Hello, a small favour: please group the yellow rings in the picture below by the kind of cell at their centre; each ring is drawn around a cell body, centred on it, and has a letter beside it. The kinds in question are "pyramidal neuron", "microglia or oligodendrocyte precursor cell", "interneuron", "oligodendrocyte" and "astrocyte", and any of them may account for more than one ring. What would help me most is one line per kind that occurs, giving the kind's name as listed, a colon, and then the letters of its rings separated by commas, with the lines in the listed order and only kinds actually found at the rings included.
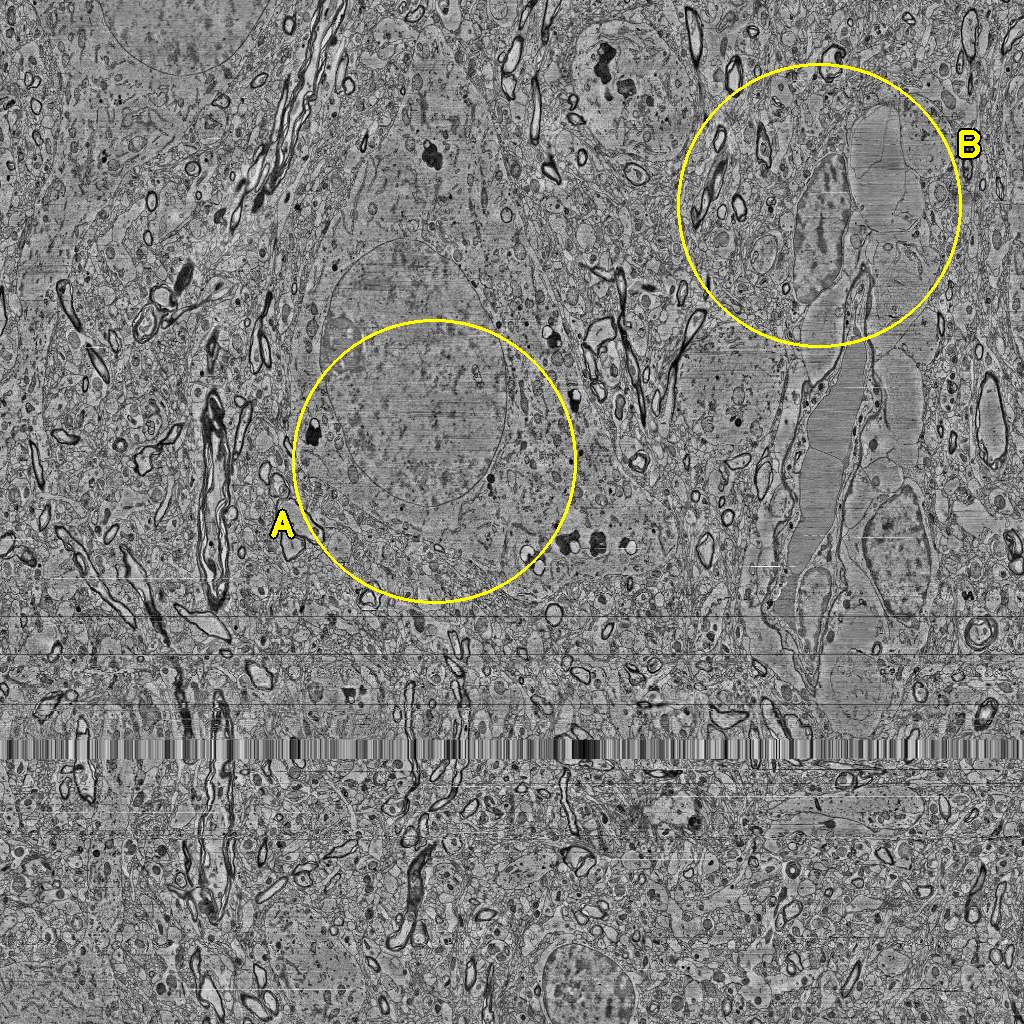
pyramidal neuron: A
microglia or oligodendrocyte precursor cell: B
